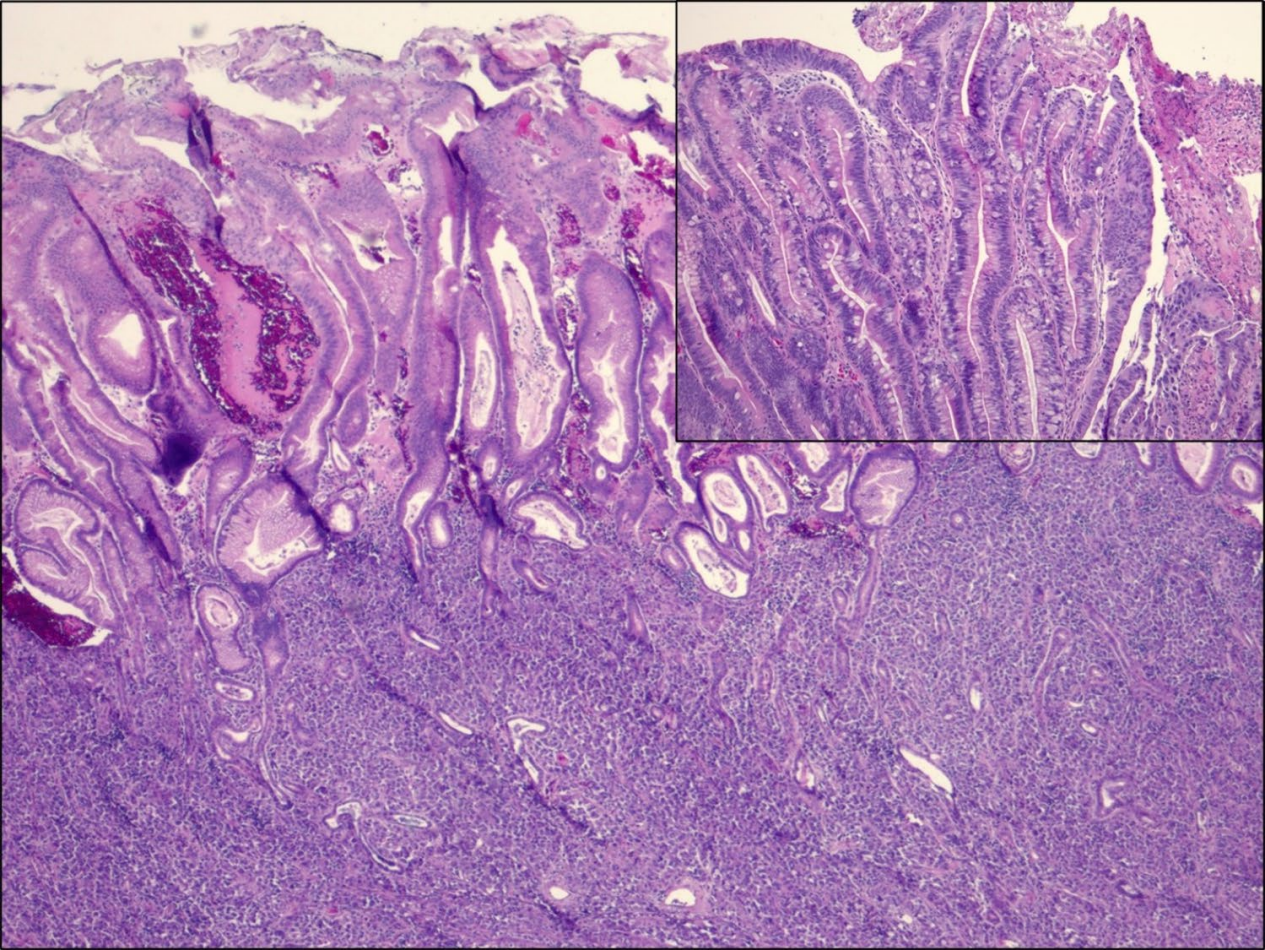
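This is a section of mucosa in which a solid sheet of densely packed, purple-staining tumor cells fills the lower part of the field, without forming glands. Above it lies a layer of glandular epithelium with elongated and dilated glands lined by a single row of columnar cells, some containing pale mucinous material. The cellular sheet extends up between and beneath the glands, which appear to be undermined by it. Near the surface there are patches of haemorrhage with red blood cells in the stroma between the glands.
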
